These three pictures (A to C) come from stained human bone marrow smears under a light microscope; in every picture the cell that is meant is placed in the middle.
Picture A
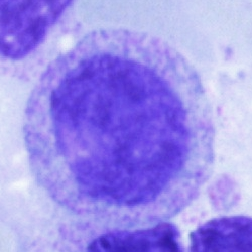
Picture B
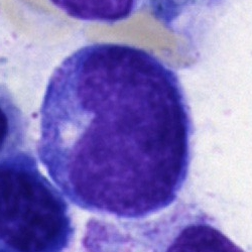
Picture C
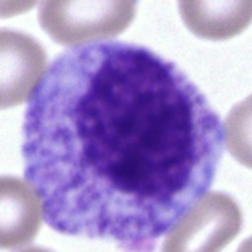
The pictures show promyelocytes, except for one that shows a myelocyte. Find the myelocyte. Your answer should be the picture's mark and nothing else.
A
